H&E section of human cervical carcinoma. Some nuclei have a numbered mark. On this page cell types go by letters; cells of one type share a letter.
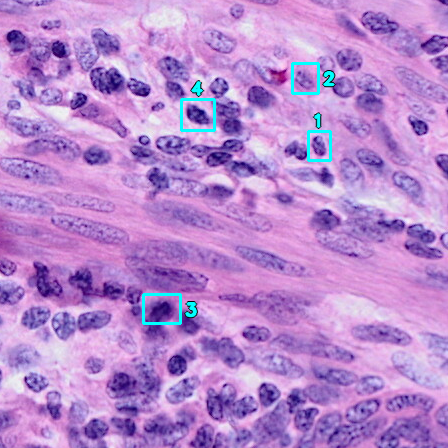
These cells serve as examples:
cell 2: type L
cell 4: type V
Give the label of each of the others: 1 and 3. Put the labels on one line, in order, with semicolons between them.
type V; type V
